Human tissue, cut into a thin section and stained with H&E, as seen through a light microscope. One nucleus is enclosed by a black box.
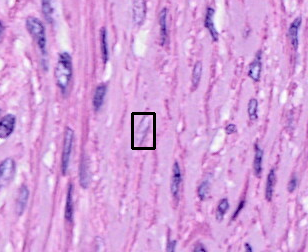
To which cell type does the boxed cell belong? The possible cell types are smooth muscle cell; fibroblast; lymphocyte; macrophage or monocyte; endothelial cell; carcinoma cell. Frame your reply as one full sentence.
Among the cells in this section, the boxed cell is a fibroblast.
